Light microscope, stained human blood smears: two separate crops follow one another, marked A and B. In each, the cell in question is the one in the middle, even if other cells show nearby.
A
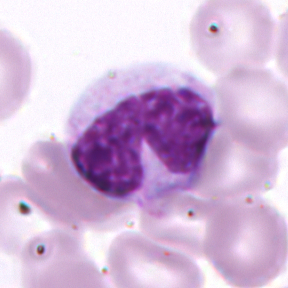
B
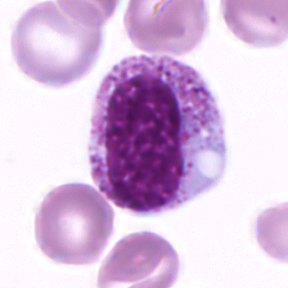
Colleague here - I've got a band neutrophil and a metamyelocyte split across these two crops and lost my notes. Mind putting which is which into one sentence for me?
Among the crops, crop A is a band neutrophil and crop B is a metamyelocyte.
